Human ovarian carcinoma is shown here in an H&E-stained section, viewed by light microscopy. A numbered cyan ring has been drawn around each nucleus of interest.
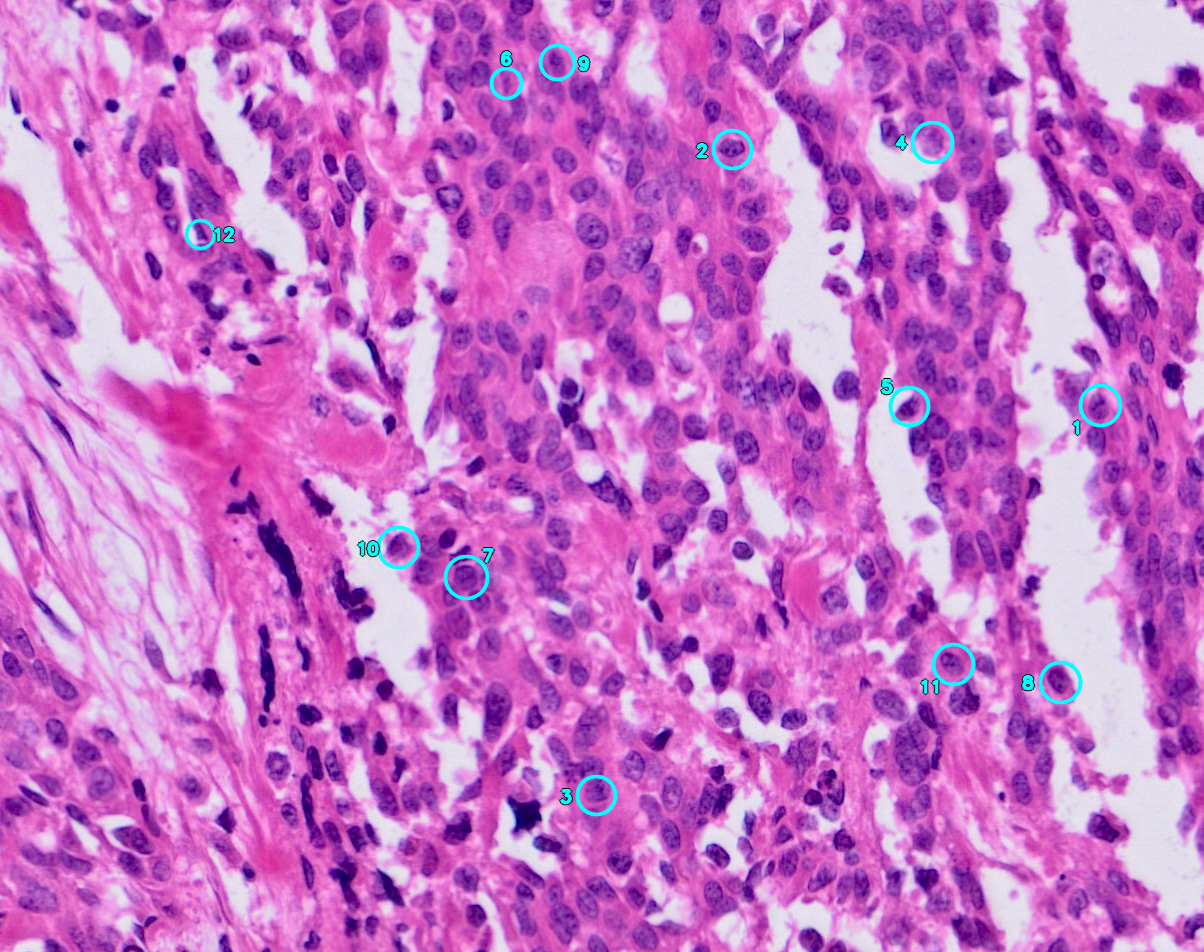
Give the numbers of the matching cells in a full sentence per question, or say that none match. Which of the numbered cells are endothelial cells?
Among the marked cells, cell number 12 alone is an endothelial cell.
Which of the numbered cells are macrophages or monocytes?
Classified as macrophages or monocytes are the cells numbered 1, 2, 8 and 11.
